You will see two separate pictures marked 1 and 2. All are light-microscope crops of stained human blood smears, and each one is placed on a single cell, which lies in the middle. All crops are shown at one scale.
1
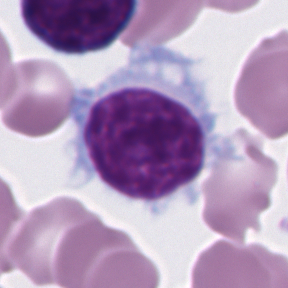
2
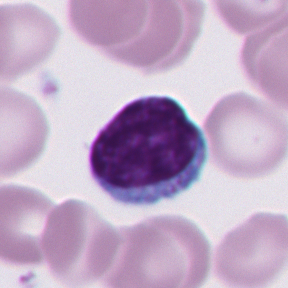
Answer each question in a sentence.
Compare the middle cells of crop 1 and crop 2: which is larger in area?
The cell in crop 1 is larger, with about 1.5 times the area of the one in crop 2.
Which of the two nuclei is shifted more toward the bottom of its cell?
In crop 1 the nucleus is shifted more toward the bottom.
